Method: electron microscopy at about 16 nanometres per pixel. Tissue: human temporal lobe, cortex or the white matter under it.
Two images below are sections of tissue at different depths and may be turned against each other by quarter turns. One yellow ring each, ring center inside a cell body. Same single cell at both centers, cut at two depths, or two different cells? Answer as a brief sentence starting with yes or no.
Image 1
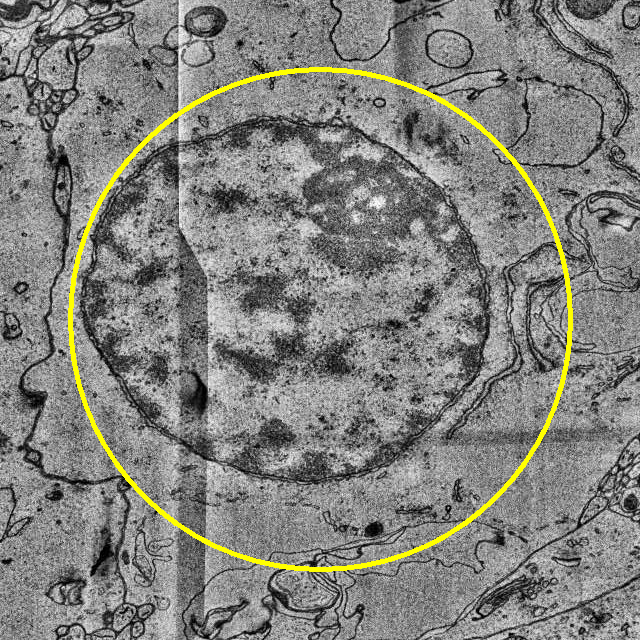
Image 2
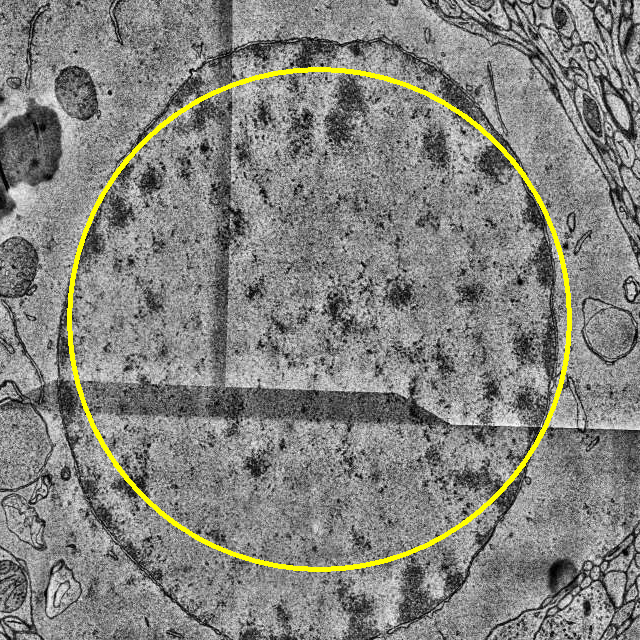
Yes, what the two rings mark is one cell.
